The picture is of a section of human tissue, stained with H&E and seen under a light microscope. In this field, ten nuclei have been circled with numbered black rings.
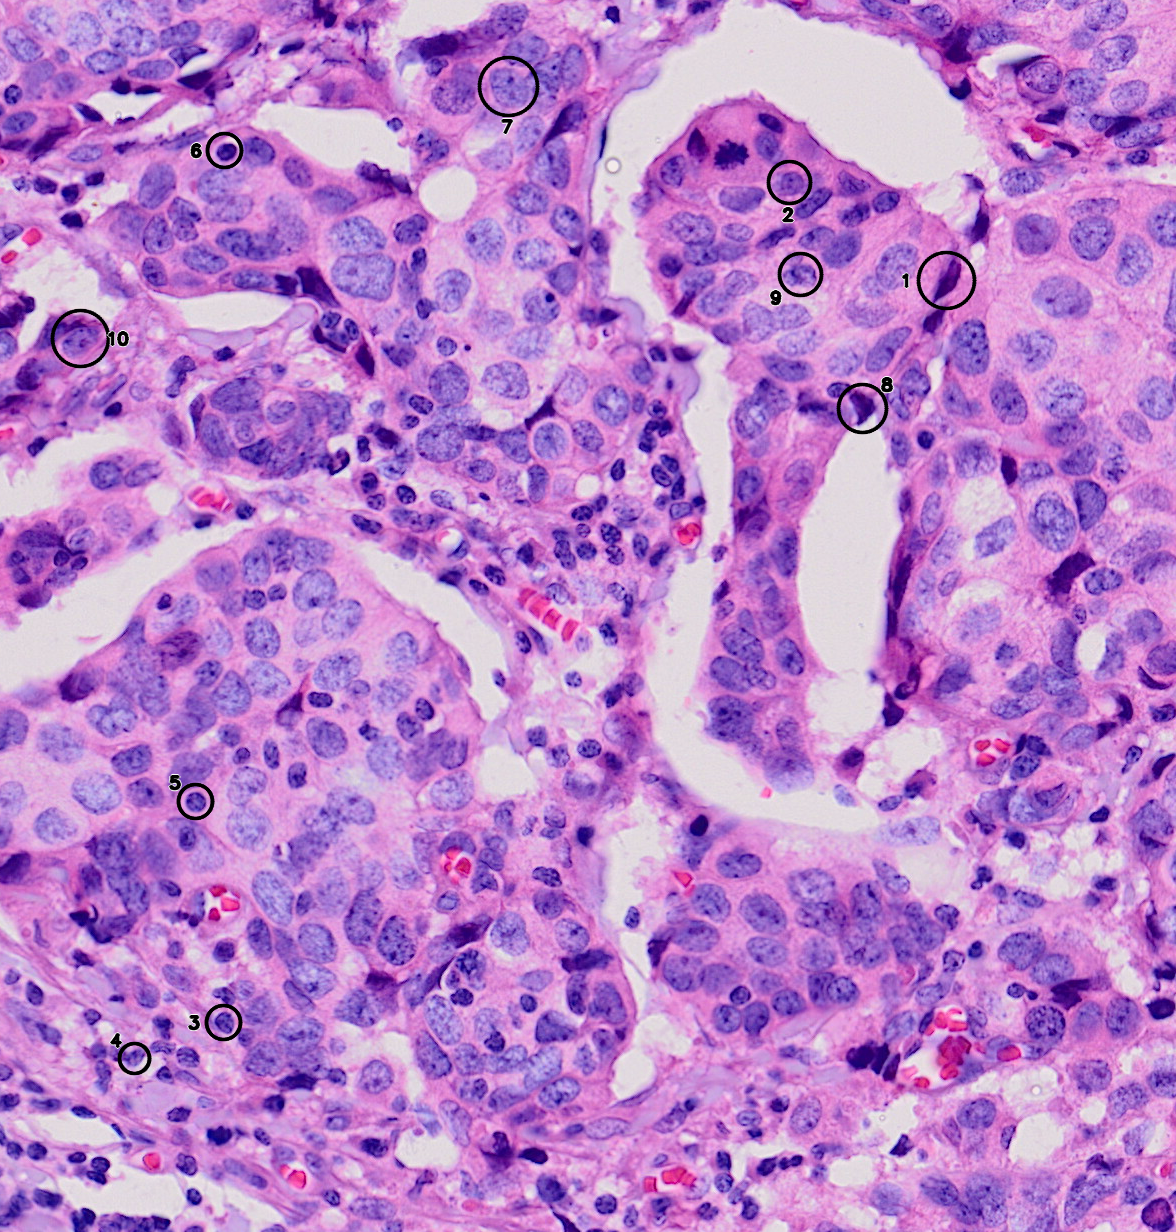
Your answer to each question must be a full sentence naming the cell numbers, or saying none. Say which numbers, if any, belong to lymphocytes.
Cells 3, 4, 5 and 6 are of one type, namely lymphocytes.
